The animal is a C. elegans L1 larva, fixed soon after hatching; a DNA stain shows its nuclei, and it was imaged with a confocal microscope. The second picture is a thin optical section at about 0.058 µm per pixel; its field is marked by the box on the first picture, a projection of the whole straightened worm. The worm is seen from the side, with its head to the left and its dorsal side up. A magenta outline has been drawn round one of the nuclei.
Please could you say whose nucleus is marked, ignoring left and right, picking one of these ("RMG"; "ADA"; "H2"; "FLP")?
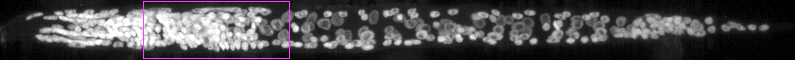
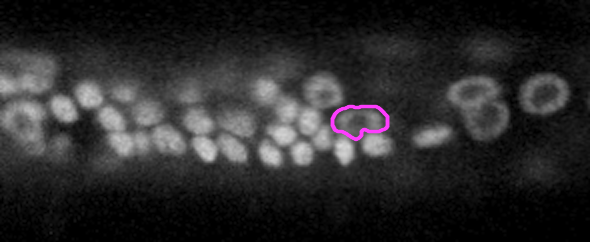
H2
